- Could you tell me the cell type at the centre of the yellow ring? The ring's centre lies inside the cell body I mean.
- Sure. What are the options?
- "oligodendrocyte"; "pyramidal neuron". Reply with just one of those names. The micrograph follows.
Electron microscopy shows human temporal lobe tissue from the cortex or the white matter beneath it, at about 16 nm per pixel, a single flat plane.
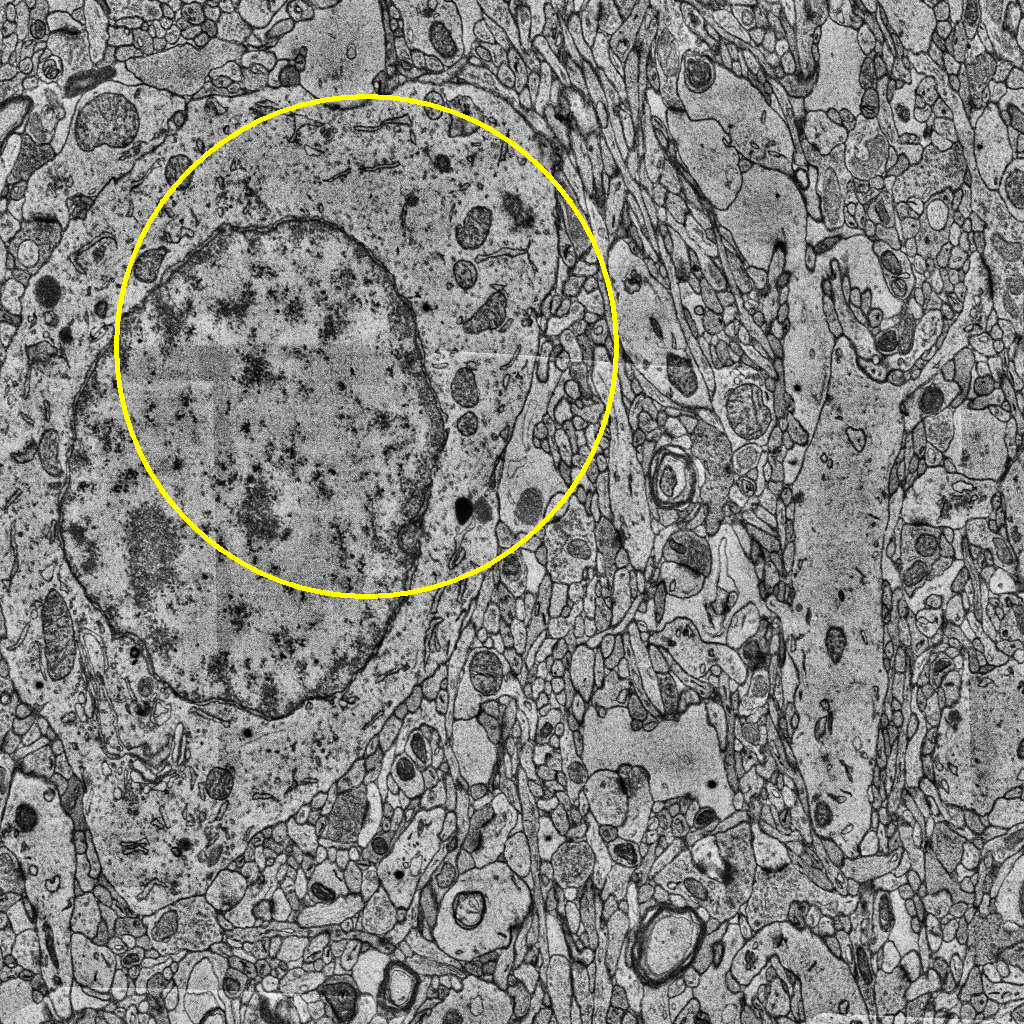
pyramidal neuron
